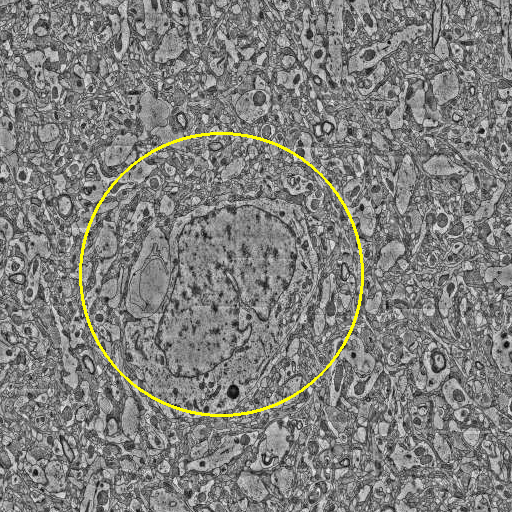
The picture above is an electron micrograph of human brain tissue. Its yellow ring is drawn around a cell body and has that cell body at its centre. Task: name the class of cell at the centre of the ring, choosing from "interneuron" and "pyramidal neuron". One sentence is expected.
The ring surrounds the body of an interneuron.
